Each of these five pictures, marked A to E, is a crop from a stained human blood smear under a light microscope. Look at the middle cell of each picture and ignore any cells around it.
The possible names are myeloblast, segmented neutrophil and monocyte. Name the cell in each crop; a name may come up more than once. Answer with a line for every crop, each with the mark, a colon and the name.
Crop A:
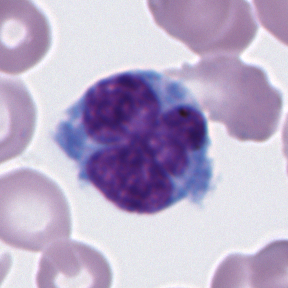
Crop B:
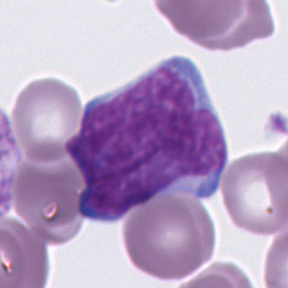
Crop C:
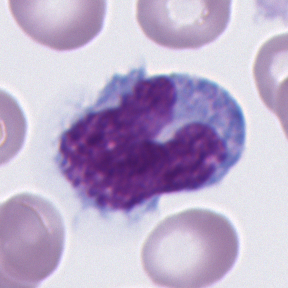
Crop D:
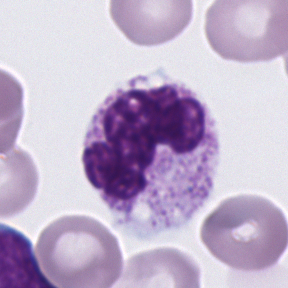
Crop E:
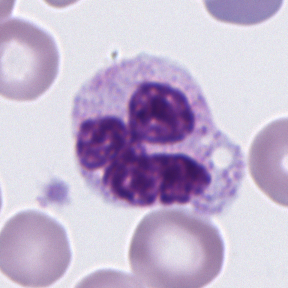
A: monocyte
B: myeloblast
C: monocyte
D: segmented neutrophil
E: segmented neutrophil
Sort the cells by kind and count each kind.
monocyte: 2
segmented neutrophil: 2
myeloblast: 1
